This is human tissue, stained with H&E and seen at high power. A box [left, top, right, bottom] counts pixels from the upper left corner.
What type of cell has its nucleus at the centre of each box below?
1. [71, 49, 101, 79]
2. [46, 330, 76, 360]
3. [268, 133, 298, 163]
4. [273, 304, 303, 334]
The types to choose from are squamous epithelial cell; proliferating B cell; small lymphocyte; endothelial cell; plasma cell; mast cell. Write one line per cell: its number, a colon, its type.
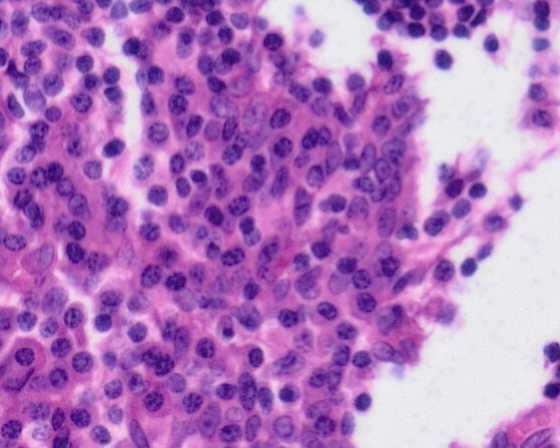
1: small lymphocyte
2: plasma cell
3: plasma cell
4: plasma cell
